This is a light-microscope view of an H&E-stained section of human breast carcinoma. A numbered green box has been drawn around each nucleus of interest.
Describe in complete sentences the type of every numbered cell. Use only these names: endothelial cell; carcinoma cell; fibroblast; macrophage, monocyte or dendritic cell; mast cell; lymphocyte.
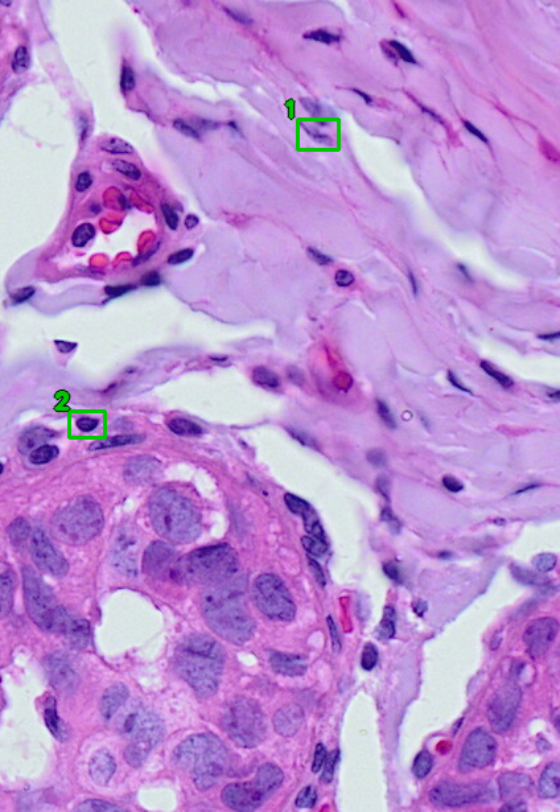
Cell 1 is a fibroblast. Cell 2 is a lymphocyte.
